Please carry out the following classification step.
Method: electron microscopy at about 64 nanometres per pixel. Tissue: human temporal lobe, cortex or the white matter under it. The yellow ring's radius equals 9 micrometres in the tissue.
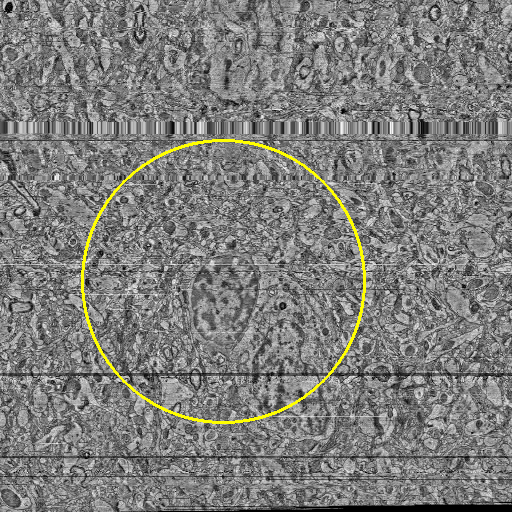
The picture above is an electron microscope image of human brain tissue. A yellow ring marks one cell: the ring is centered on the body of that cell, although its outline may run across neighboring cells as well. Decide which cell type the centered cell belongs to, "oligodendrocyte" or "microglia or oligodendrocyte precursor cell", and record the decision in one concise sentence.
The cell centered in the yellow ring is an oligodendrocyte.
